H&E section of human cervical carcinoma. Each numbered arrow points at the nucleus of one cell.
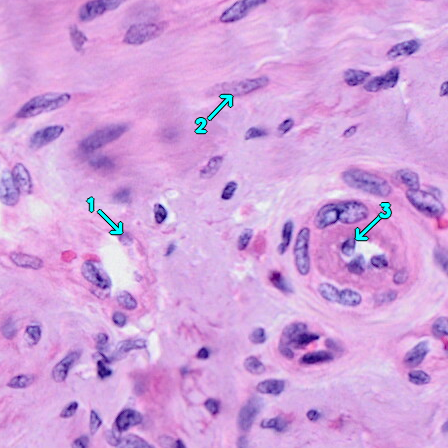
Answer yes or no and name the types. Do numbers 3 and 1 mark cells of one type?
Yes, the numbered cells 3 and 1 are both endothelial cells.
